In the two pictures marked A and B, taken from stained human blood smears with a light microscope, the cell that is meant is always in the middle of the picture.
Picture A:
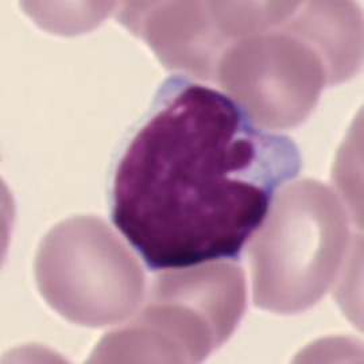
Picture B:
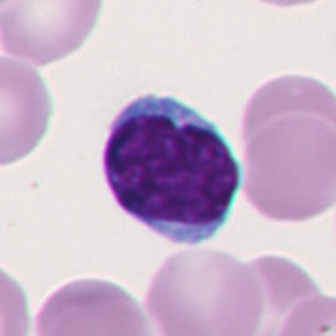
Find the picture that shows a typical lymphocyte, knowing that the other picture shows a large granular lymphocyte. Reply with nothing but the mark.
B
